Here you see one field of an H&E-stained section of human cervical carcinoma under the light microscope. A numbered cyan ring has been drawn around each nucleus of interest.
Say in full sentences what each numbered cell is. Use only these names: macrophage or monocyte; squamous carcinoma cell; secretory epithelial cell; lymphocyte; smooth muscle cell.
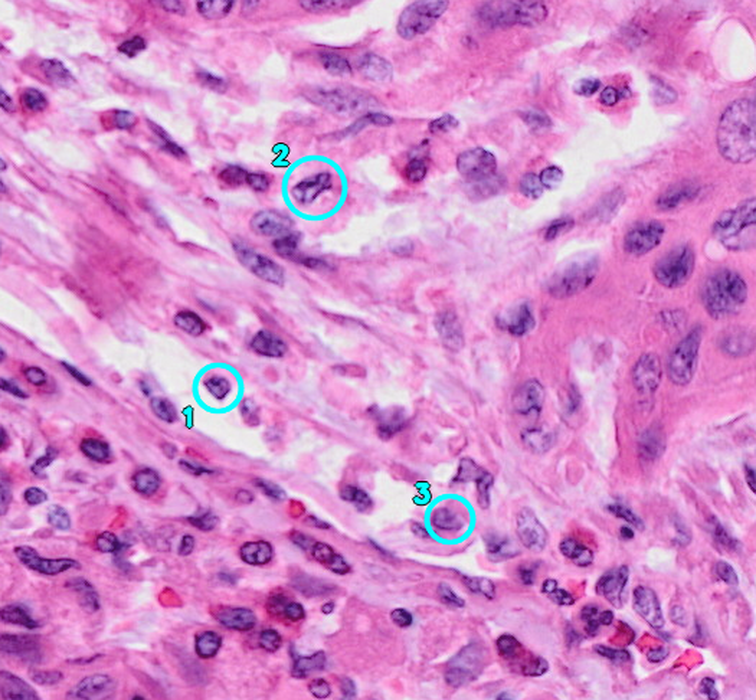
Cell 1 is a lymphocyte, cell 2 is a lymphocyte and cell 3 is a macrophage or monocyte.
